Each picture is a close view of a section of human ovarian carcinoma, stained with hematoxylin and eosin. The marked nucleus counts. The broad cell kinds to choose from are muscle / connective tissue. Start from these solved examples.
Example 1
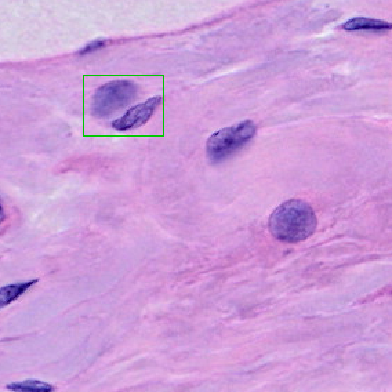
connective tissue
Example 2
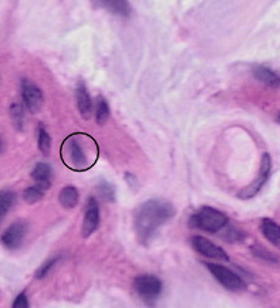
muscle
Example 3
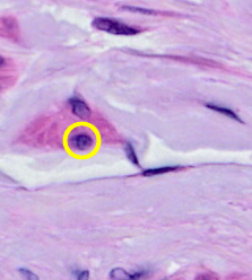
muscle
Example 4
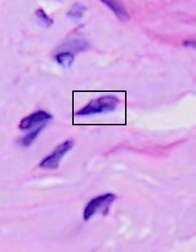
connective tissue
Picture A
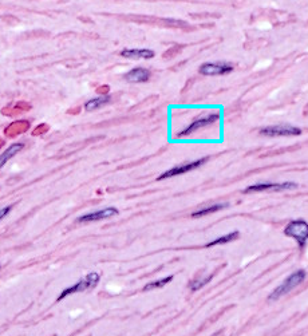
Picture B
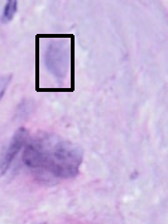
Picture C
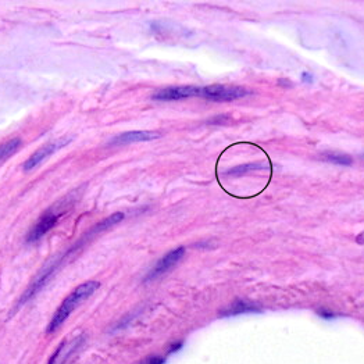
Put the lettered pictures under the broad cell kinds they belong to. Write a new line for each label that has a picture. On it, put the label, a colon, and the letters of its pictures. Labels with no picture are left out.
muscle: C
connective tissue: A, B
